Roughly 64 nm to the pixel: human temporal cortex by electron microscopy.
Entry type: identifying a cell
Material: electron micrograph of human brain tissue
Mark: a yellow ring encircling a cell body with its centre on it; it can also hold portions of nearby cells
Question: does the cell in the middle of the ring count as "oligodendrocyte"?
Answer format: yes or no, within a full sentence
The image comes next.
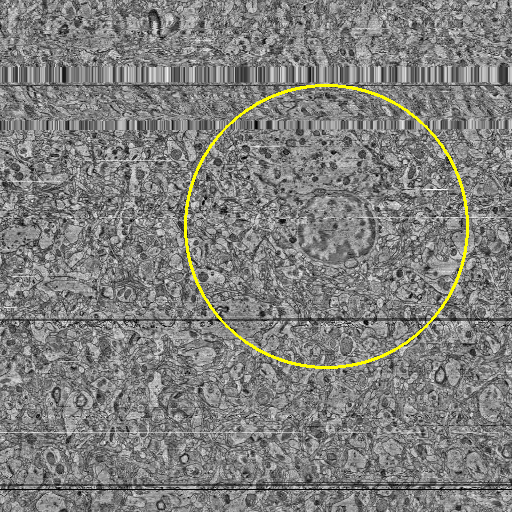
Yes, in the image, the cell in the middle of the yellow ring counts as the queried kind.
